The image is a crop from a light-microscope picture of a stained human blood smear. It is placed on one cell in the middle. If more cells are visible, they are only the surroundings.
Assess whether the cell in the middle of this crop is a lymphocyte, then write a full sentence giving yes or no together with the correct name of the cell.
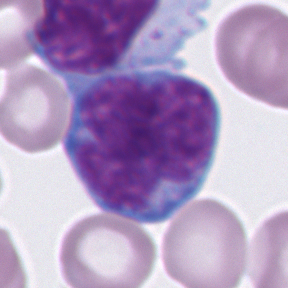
No, instead of a lymphocyte, the middle cell is a blast.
